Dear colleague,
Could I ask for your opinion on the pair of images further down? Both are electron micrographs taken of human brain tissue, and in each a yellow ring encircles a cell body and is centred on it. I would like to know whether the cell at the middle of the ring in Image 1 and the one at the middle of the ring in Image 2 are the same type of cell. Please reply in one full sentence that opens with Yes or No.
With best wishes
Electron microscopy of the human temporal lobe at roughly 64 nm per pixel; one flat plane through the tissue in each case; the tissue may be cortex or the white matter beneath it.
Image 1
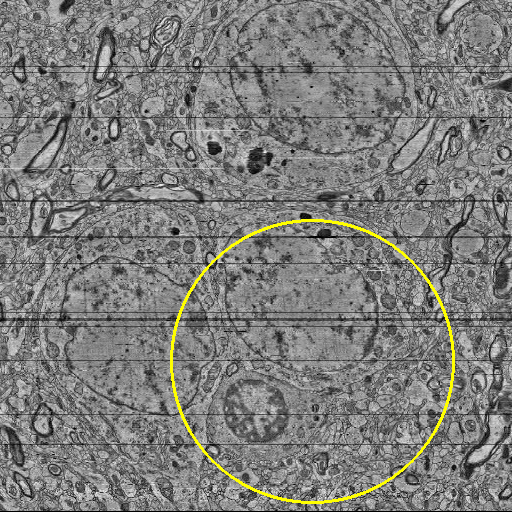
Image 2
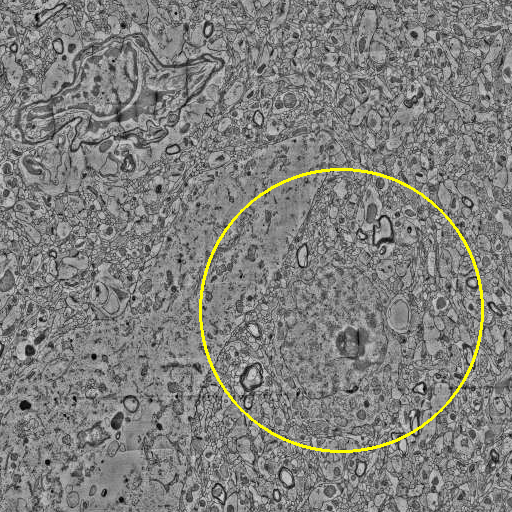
Yes, the cells at the ring centres in Image 1 and Image 2 are of one type.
